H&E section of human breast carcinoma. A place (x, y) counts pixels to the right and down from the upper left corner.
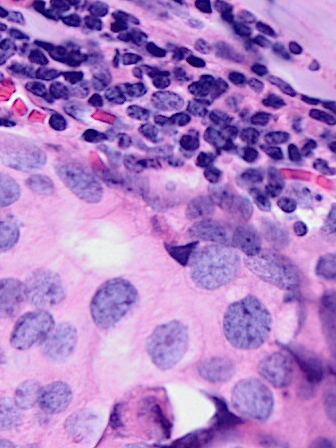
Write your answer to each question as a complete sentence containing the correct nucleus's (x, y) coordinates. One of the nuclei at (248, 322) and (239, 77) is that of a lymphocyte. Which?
The member of the pair belonging to a lymphocyte is the nucleus at (239, 77).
